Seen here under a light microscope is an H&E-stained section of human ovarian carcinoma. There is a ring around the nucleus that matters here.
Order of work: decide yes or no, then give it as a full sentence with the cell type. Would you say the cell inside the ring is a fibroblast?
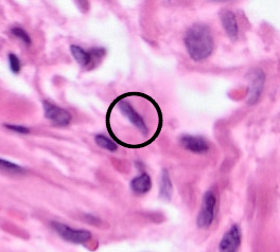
Yes, as far as cell type goes, the cell inside the ring is a fibroblast.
